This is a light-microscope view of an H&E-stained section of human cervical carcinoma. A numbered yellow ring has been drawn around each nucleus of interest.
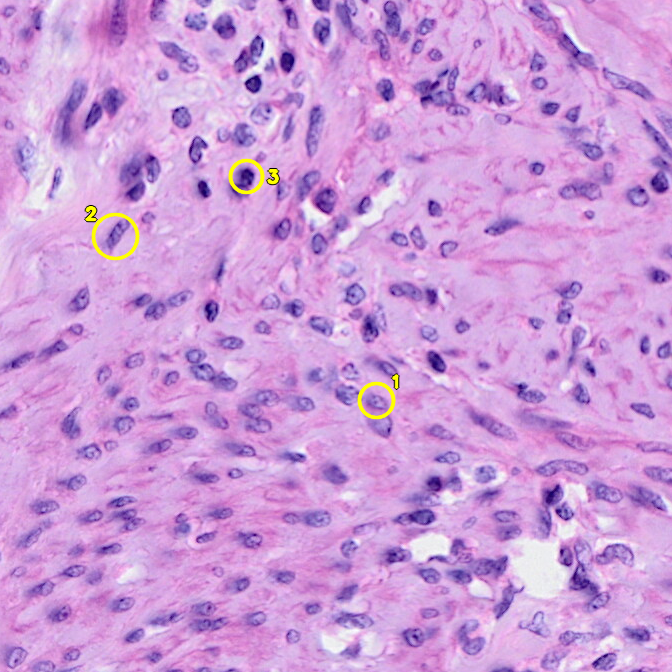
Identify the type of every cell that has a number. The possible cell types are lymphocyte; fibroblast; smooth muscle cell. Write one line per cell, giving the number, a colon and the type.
1: smooth muscle cell
2: fibroblast
3: lymphocyte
